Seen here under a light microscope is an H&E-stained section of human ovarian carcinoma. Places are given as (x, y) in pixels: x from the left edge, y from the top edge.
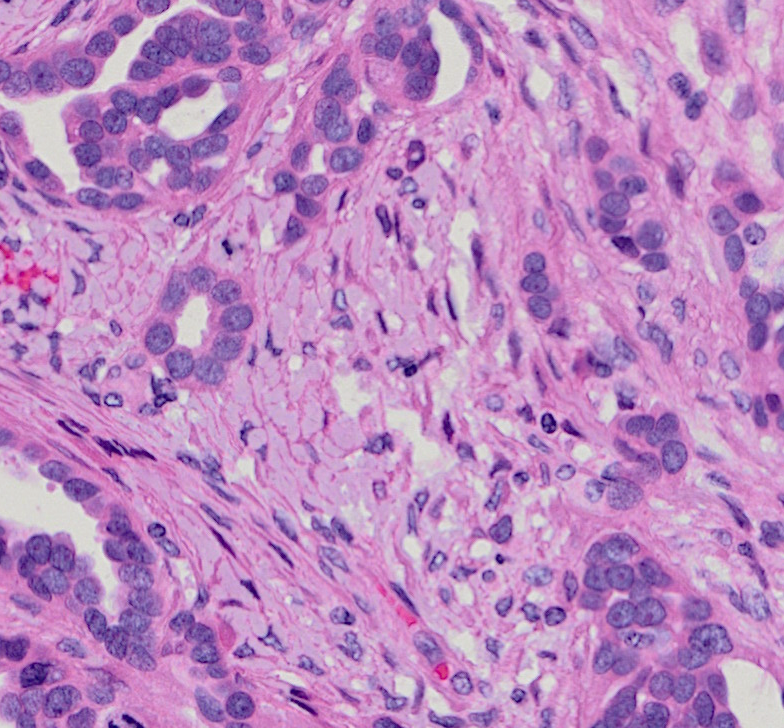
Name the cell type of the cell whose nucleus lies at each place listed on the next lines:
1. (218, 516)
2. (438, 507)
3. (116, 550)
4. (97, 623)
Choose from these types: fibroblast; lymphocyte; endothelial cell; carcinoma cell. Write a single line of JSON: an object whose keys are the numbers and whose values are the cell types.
{"1": "fibroblast", "2": "fibroblast", "3": "carcinoma cell", "4": "carcinoma cell"}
